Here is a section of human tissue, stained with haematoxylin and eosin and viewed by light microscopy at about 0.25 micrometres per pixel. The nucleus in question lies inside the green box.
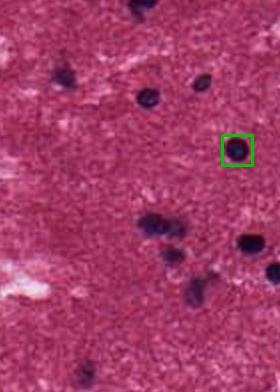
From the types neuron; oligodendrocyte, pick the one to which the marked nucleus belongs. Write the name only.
oligodendrocyte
